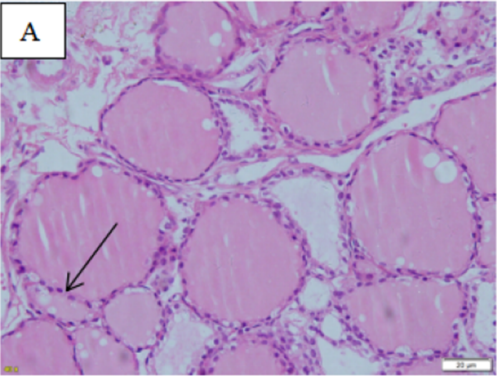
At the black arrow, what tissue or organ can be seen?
thyroid follicular epithelium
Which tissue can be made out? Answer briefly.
thyroid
